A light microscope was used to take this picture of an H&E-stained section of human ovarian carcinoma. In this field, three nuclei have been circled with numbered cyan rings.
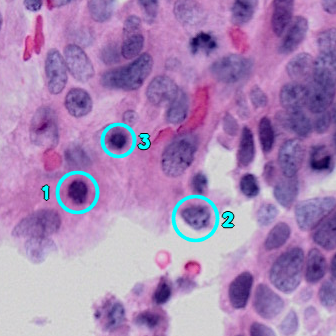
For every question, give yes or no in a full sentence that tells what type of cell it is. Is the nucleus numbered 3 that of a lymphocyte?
Yes, in this section the cell numbered 3 is a lymphocyte.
